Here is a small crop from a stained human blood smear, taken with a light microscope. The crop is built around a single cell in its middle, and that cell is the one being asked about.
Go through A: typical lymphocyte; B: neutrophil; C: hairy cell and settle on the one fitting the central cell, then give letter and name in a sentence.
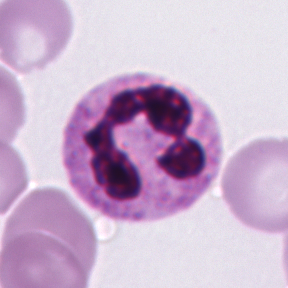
Option B is the keyed answer: the cell in the middle is a neutrophil.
